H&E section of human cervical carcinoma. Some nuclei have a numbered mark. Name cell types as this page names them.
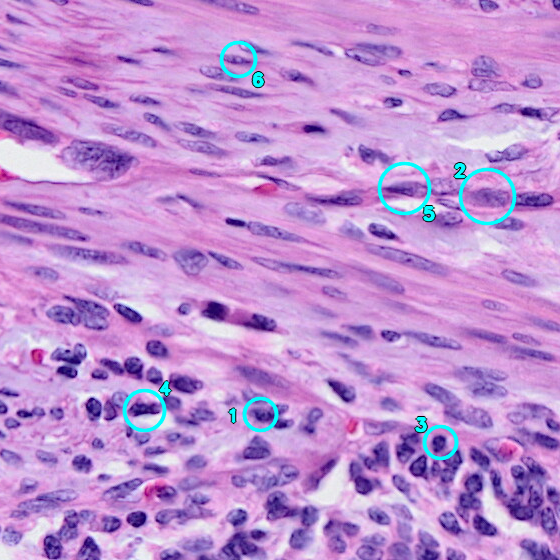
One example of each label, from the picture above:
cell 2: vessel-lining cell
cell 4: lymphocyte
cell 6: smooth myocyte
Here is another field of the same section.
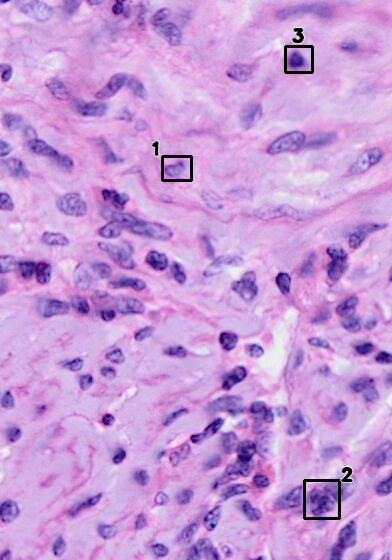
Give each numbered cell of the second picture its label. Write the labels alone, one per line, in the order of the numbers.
smooth myocyte
lymphocyte
lymphocyte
